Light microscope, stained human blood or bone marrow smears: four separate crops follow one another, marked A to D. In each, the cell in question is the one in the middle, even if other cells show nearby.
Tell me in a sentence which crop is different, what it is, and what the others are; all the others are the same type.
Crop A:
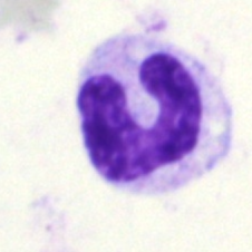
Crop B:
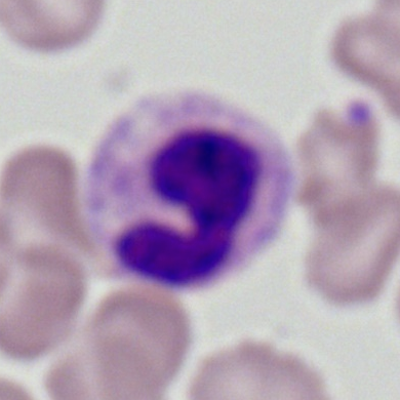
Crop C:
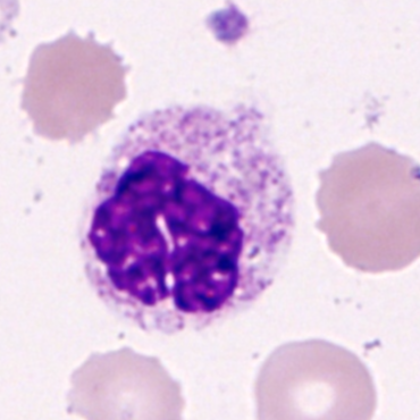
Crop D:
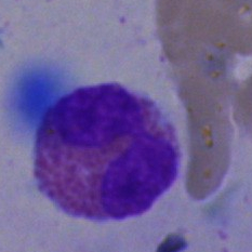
Crop D is the one to flag: it is an eosinophil, and the rest show band neutrophils.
